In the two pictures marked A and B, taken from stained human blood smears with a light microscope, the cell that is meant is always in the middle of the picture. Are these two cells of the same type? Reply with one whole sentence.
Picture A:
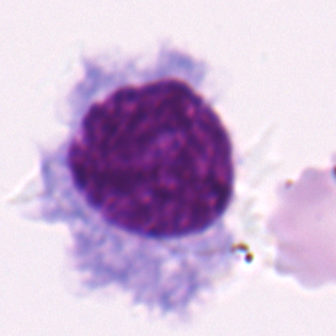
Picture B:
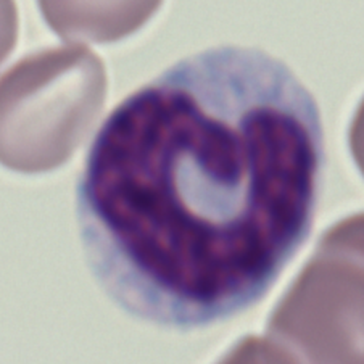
No, they differ: the cell is a hairy cell in picture A and a monocyte in picture B.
